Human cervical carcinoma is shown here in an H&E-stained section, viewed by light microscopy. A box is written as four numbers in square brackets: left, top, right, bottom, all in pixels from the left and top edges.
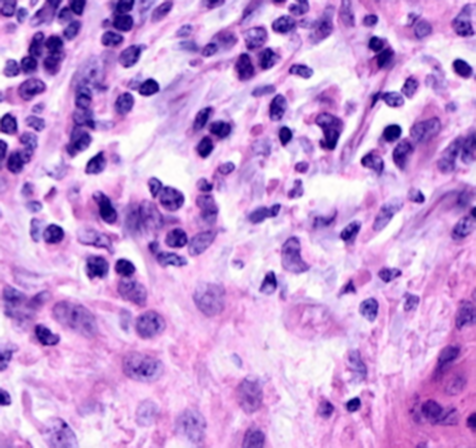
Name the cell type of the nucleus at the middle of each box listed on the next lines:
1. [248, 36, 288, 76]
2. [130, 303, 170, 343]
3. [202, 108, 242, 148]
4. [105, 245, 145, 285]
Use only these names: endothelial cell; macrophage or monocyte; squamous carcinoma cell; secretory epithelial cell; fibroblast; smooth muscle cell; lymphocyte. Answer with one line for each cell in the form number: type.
1: lymphocyte
2: macrophage or monocyte
3: lymphocyte
4: lymphocyte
